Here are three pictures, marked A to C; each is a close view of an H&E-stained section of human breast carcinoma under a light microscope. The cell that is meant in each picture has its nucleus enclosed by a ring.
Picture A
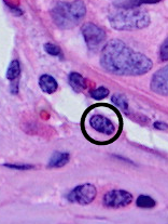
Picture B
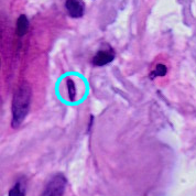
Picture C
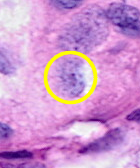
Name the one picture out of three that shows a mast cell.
A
